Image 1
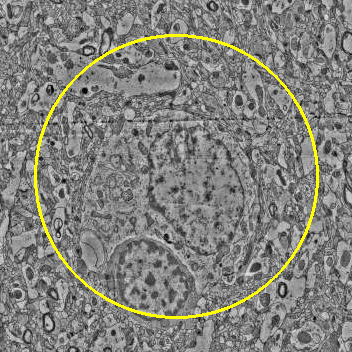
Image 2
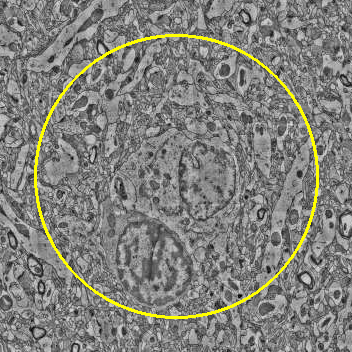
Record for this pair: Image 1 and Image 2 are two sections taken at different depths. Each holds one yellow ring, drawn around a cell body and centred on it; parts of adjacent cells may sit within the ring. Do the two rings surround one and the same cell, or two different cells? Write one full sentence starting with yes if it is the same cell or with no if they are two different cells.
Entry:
Yes, both yellow rings mark one and the same cell.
